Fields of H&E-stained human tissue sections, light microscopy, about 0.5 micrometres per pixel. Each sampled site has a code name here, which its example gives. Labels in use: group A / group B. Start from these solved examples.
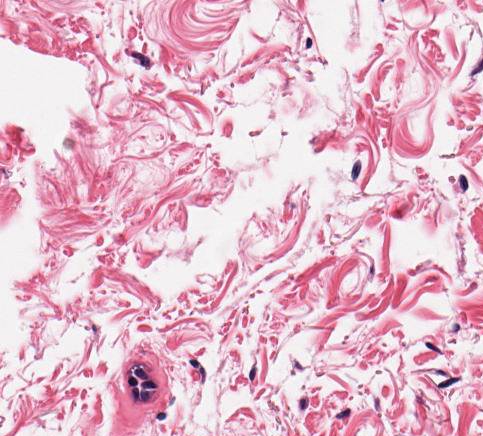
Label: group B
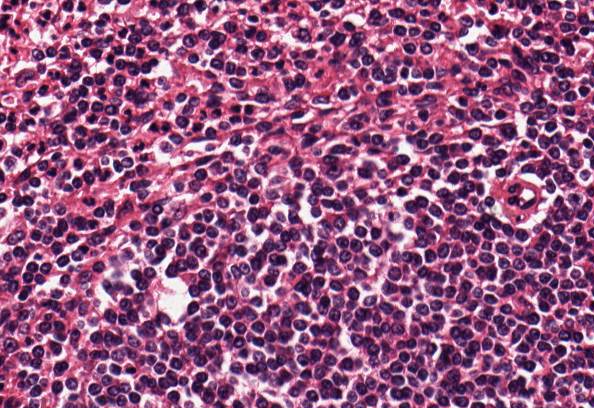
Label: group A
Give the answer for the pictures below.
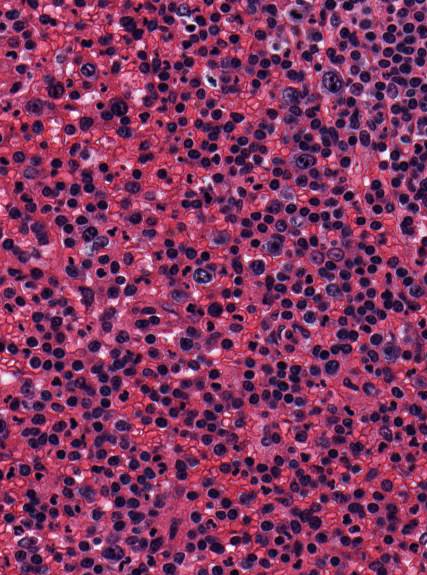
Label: group A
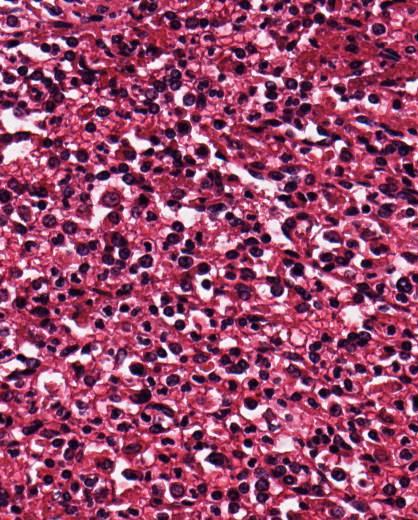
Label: group A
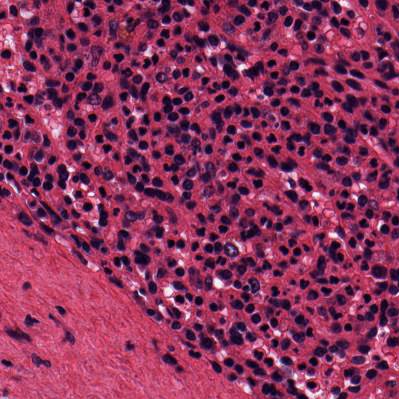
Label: group A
